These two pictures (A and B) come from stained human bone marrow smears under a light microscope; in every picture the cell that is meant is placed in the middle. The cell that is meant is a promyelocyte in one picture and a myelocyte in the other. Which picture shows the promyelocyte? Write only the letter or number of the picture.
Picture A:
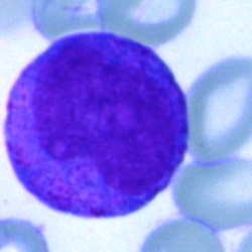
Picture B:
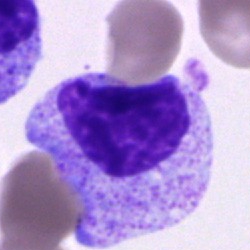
A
